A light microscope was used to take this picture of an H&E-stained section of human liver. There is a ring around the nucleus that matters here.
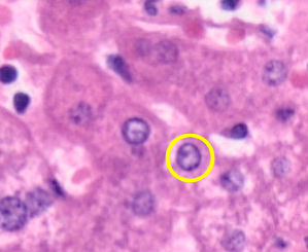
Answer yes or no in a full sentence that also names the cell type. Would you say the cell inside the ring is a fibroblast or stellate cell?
No, it is a hepatocyte rather than a fibroblast or stellate cell that the cell inside the ring is.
